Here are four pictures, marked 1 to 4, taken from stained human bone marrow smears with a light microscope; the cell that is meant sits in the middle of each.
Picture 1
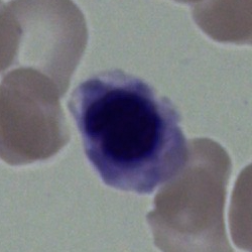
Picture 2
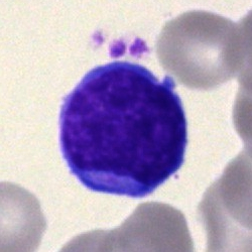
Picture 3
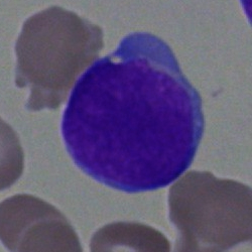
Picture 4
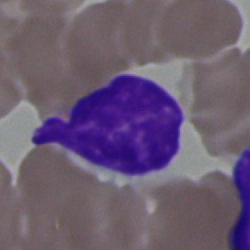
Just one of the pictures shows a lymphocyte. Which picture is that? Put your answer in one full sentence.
The cell in picture 4 is the lymphocyte.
